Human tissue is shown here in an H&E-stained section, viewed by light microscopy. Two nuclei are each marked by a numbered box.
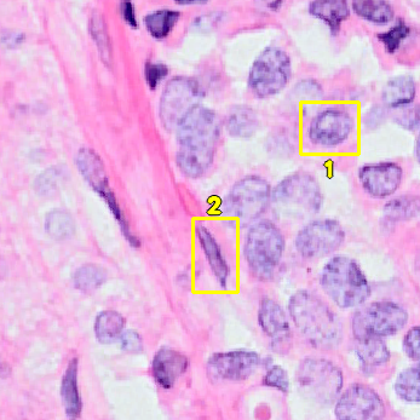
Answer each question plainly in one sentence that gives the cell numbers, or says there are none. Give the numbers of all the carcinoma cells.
Only number 1 of the marked cells is a carcinoma cell.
